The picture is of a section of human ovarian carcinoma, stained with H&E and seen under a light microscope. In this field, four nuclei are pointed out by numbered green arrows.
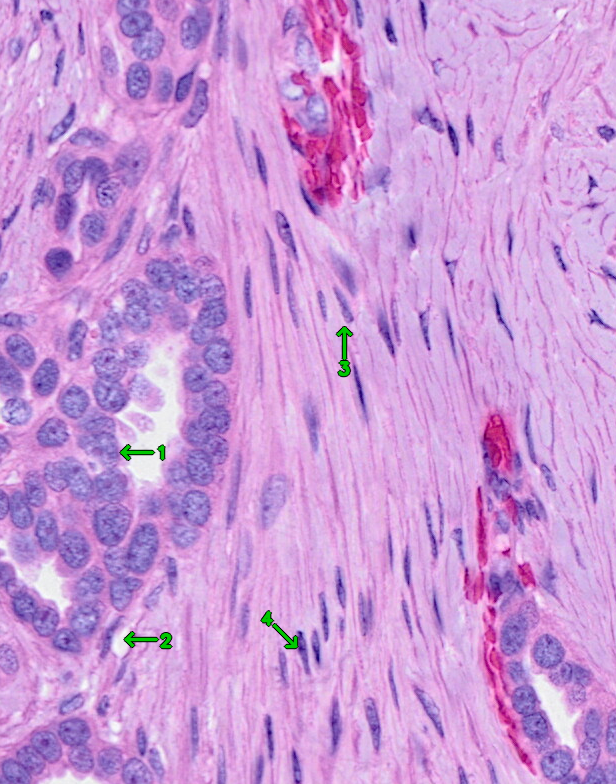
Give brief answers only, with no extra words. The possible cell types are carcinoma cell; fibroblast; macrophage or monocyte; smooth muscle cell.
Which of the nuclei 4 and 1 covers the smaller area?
4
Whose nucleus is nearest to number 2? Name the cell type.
carcinoma cell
